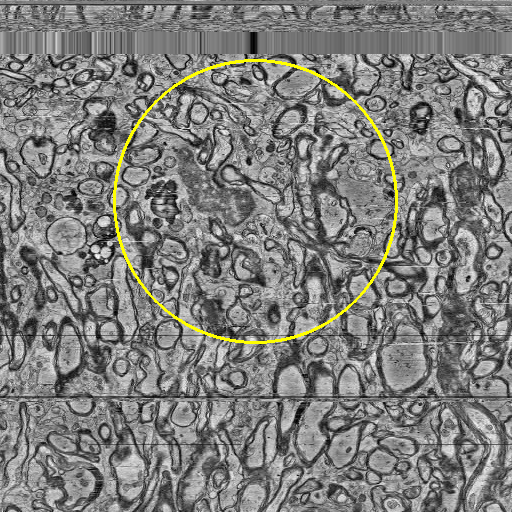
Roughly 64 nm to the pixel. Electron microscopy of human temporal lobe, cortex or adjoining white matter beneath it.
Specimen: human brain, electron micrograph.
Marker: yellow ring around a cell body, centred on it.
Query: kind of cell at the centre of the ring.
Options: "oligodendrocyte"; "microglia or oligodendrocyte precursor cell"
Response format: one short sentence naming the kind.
This cell body belongs to an oligodendrocyte.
